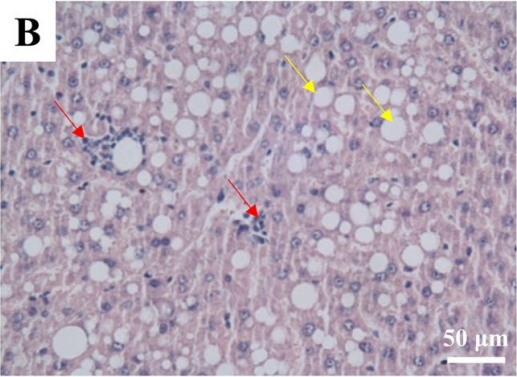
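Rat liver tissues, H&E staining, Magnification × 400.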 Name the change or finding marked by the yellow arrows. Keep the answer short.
Macrovesicular steatosis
